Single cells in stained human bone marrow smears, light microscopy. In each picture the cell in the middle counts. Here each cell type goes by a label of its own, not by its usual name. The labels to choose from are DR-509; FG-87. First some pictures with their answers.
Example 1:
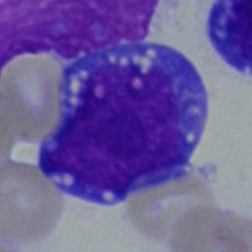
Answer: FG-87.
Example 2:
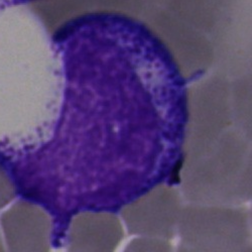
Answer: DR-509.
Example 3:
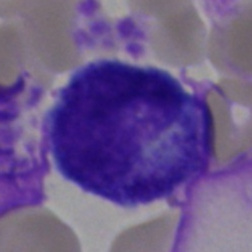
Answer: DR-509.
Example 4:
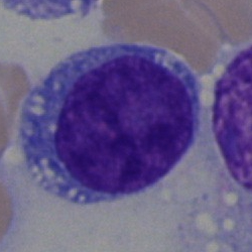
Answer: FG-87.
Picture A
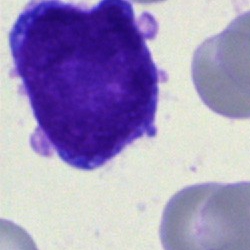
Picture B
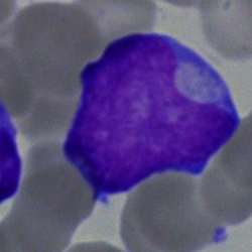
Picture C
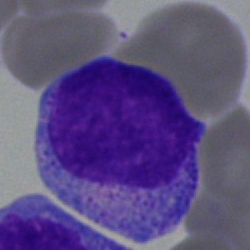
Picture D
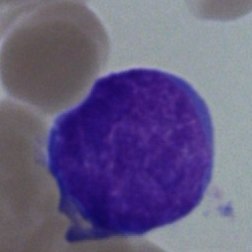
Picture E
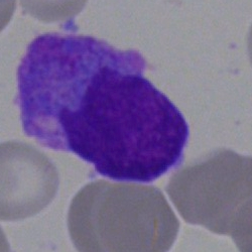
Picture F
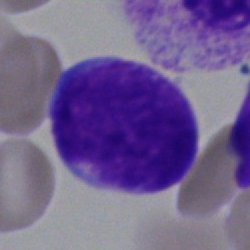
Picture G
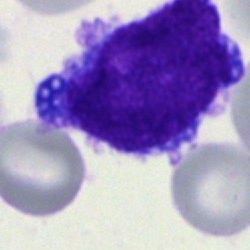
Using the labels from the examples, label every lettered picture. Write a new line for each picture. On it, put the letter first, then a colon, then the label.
A: FG-87.
B: FG-87.
C: FG-87.
D: FG-87.
E: FG-87.
F: FG-87.
G: FG-87.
